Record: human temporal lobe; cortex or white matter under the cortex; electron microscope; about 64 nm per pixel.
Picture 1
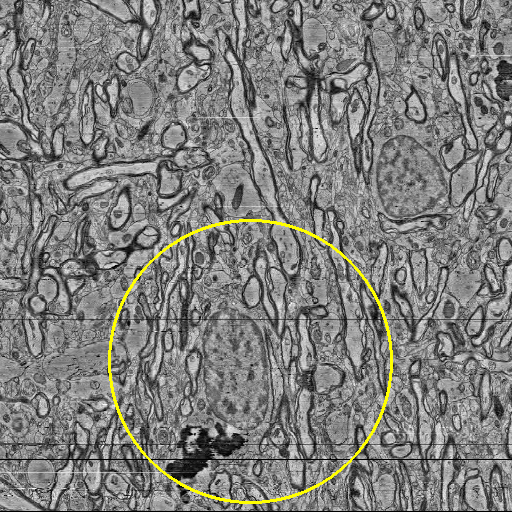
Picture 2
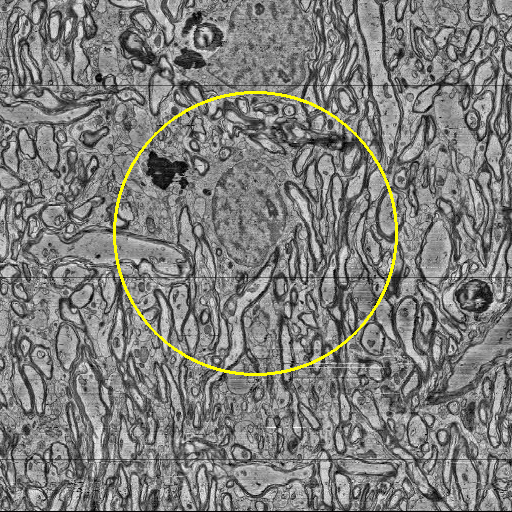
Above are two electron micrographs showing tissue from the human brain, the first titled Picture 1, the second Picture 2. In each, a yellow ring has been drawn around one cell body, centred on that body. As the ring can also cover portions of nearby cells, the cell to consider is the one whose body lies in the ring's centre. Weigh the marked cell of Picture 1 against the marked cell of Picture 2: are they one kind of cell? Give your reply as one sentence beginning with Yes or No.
Yes, the two cells sitting at the ring centres in the pictures are of one kind.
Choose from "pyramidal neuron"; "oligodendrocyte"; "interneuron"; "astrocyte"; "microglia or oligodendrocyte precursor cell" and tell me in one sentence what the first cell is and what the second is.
The cell in the first picture is an oligodendrocyte, and so is the one in the second.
